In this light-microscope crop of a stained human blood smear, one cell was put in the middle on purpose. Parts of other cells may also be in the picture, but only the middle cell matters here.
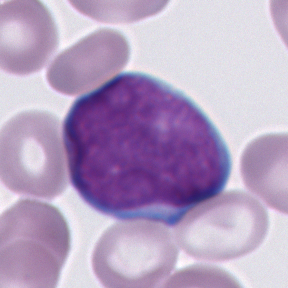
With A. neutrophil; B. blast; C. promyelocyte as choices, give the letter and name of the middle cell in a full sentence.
Option B stands as correct, the central cell being a blast.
